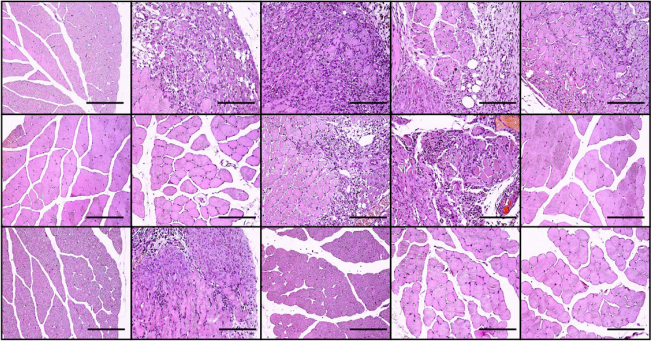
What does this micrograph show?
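These are cross-sections of skeletal muscle in which the fibers appear as pink polygonal profiles with a few nuclei at their edges. In several tiles the normal pattern of fibers is replaced by dense sheets of small dark purple nuclei that crowd between smaller and irregular fibers. The other tiles show mostly intact pink fibers separated by clear spaces.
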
